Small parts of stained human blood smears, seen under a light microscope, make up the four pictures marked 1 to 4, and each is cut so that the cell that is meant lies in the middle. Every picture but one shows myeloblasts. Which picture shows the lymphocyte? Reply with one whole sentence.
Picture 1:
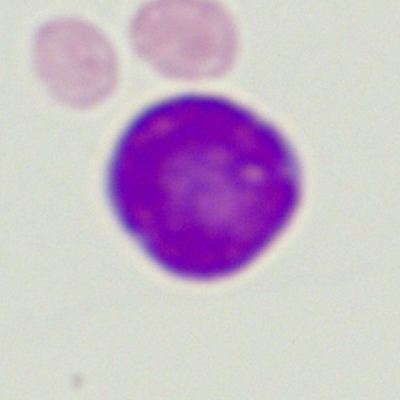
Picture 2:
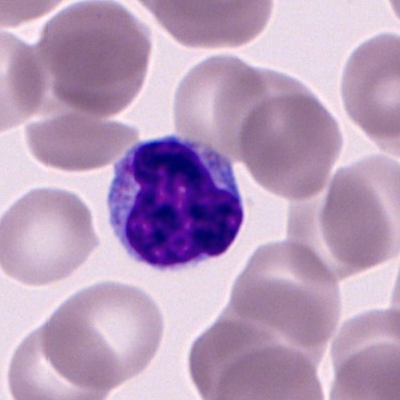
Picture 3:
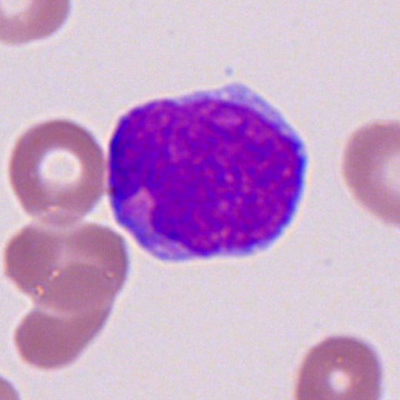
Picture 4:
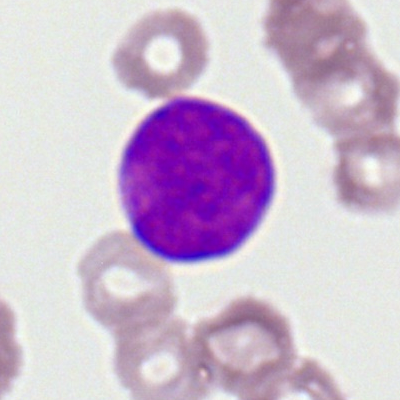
The cell in picture 2 is the lymphocyte.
